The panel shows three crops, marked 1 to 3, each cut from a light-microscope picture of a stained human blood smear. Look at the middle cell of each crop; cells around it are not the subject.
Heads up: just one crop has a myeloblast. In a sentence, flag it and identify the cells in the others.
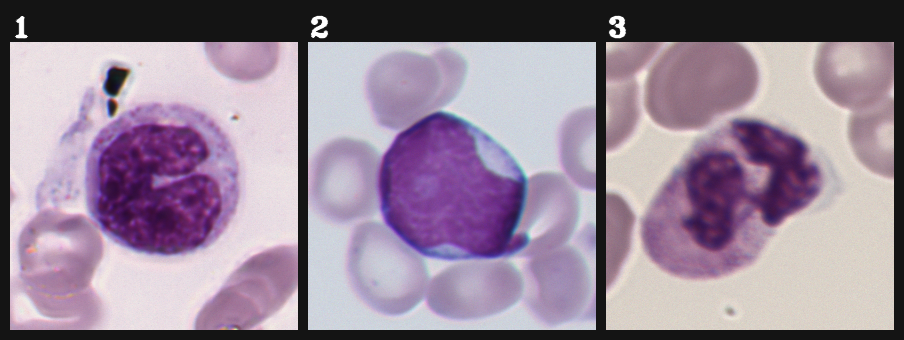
Crop 2 has a myeloblast as its central cell, while crop 1 is a band neutrophil and crop 3 is a segmented neutrophil.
